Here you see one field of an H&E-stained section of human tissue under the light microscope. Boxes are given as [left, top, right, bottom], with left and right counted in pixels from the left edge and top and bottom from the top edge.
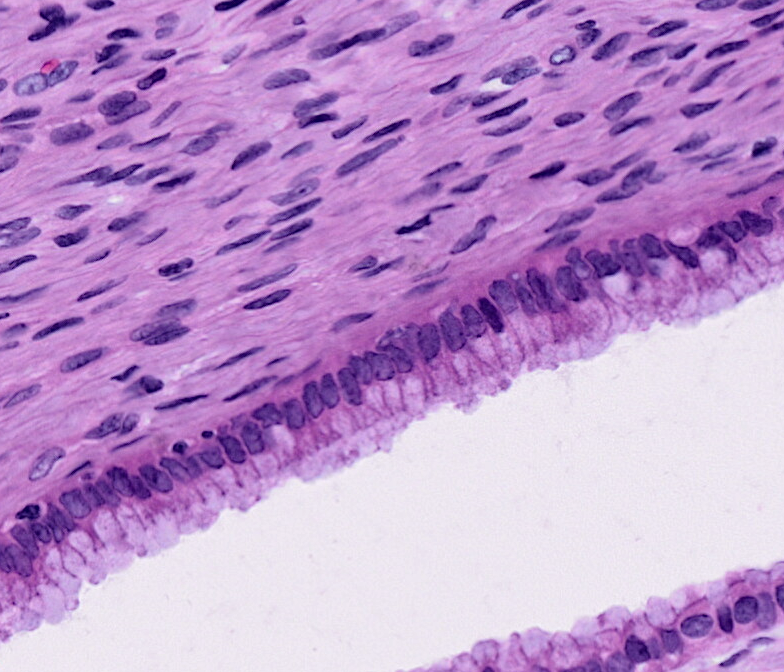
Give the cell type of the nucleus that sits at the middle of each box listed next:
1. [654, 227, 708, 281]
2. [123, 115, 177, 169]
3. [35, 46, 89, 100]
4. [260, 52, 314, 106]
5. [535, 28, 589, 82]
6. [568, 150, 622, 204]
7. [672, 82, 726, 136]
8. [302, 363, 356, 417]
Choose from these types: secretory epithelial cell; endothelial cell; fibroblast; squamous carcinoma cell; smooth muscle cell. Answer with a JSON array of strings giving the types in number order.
["secretory epithelial cell", "fibroblast", "endothelial cell", "fibroblast", "endothelial cell", "fibroblast", "fibroblast", "secretory epithelial cell"]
